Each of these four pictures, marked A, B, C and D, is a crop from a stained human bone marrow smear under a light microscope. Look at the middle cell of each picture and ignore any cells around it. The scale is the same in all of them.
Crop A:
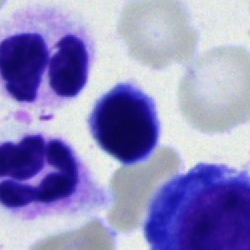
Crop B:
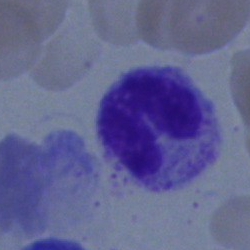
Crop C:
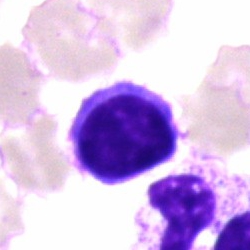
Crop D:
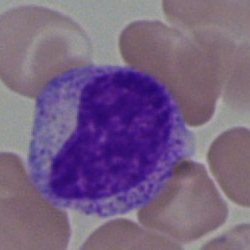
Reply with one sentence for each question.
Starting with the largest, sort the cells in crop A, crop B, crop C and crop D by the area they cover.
From the largest down, the order is D, B, C, A.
